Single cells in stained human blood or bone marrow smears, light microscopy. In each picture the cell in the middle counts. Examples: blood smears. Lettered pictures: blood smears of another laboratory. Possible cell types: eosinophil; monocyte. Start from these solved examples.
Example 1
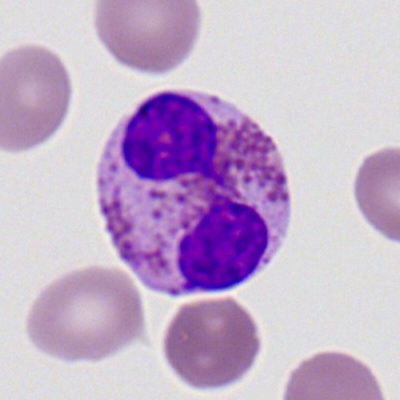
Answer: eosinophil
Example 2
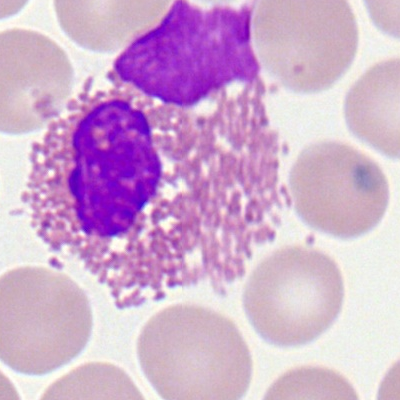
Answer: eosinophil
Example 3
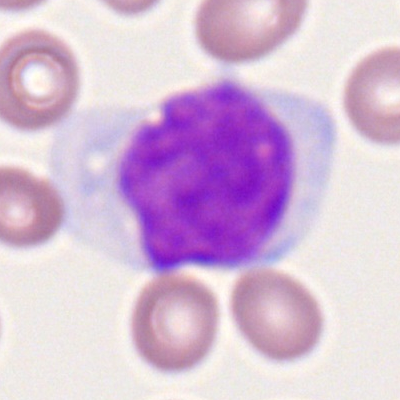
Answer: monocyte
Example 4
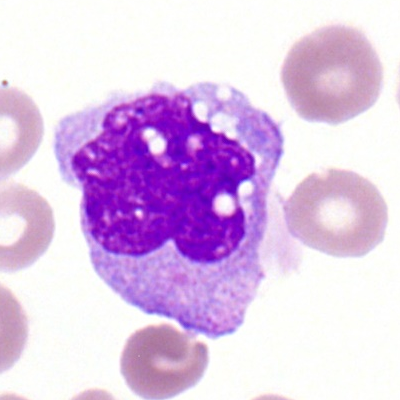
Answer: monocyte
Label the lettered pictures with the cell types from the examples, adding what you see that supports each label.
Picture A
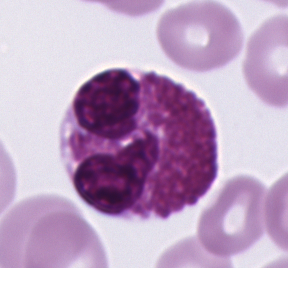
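Answer: eosinophil. The cytoplasm is packed with pinkish-red granules.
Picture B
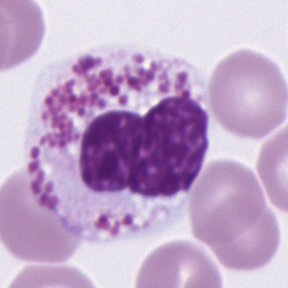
Answer: eosinophil. The granules are most crowded in the upper left part of the cytoplasm.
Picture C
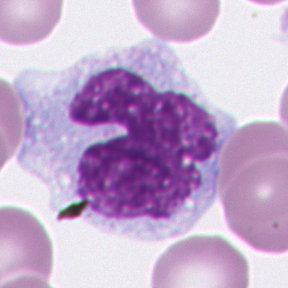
Answer: monocyte. The cytoplasm holds only fine, faint lilac dust-like granules.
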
